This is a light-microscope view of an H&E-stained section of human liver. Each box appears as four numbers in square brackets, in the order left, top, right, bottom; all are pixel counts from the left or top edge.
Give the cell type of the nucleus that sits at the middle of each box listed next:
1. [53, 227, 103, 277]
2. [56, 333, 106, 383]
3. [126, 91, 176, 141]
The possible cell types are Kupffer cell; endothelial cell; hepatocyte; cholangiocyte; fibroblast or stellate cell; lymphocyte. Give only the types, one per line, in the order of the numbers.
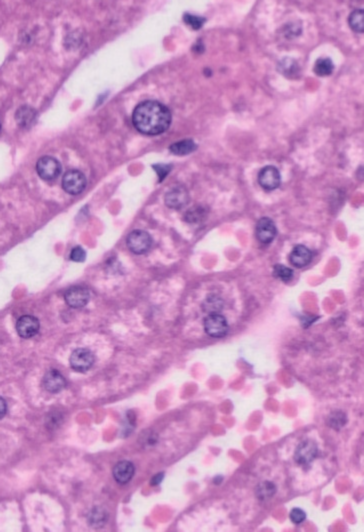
lymphocyte
hepatocyte
hepatocyte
